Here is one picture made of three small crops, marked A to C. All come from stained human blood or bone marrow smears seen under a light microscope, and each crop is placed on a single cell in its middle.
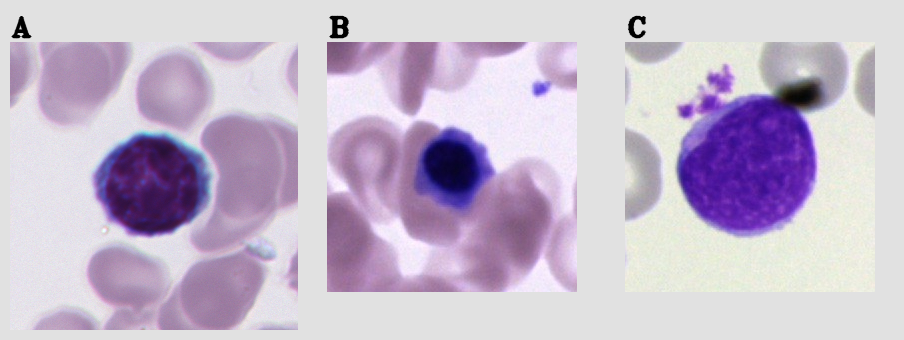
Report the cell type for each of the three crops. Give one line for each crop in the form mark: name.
A: lymphocyte
B: erythroblast
C: blast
